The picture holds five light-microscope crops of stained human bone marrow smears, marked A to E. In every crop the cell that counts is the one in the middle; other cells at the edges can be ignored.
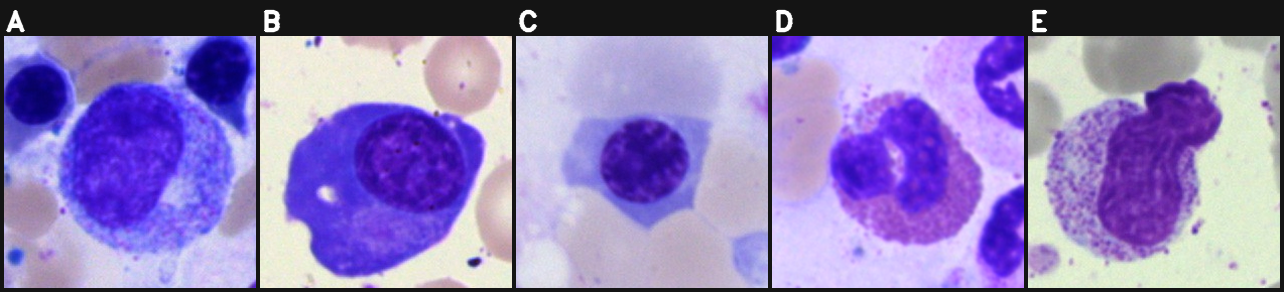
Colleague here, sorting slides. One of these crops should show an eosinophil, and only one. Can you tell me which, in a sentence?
Crop D is the crop that shows an eosinophil in its middle.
